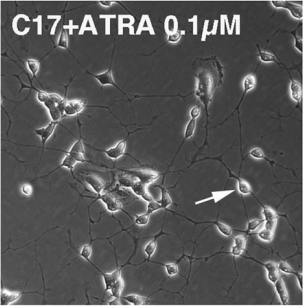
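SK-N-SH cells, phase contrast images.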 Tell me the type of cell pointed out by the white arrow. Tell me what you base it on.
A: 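Highly rounded, neuron-like cells. The arrowed cell has a compact, rounded, phase-bright cell body. Fine thread-like processes extend from the cell body across the dish.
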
